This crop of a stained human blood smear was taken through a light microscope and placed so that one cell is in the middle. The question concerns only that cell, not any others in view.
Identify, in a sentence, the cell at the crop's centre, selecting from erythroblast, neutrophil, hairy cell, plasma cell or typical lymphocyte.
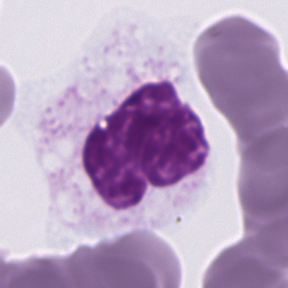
The cell in the middle of the field of view is a neutrophil.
